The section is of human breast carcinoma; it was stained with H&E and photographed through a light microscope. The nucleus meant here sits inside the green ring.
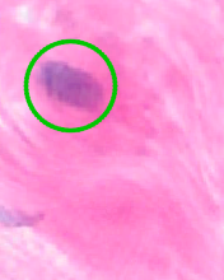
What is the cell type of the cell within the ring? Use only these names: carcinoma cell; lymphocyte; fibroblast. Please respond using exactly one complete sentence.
In this section of tissue, the cell within the ring is a fibroblast.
